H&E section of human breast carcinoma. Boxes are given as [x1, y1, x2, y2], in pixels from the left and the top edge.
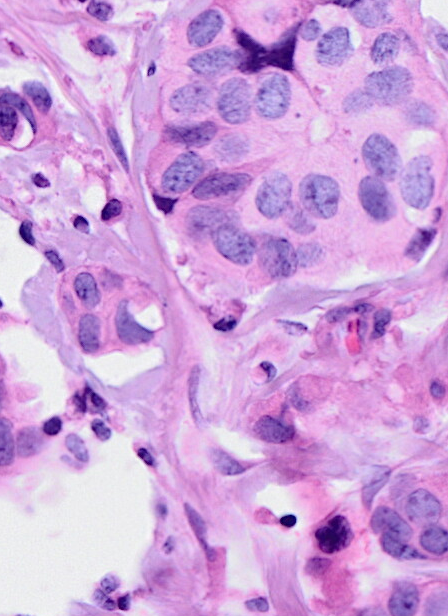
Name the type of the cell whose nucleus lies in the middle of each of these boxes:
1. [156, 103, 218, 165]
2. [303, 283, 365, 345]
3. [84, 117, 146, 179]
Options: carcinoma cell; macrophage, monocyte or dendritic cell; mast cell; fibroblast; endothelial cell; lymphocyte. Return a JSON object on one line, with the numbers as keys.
{"1": "carcinoma cell", "2": "endothelial cell", "3": "fibroblast"}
